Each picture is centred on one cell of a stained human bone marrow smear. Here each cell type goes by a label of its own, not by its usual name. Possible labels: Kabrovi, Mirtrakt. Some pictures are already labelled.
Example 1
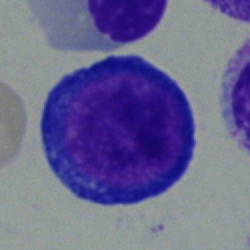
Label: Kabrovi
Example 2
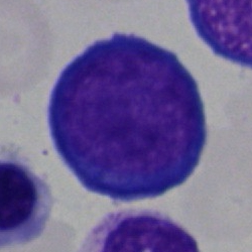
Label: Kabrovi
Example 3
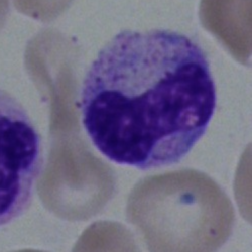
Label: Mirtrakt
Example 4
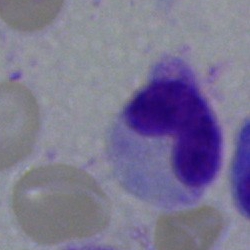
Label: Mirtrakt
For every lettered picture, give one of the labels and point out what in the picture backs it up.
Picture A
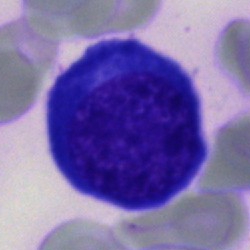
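Kabrovi. Evidence: The cytoplasm forms a narrow rim that is broadest at the upper left.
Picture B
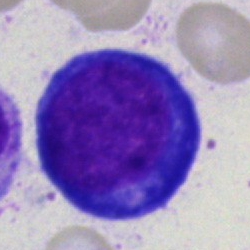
Kabrovi. Evidence: The chromatin is finely textured rather than coarsely clumped.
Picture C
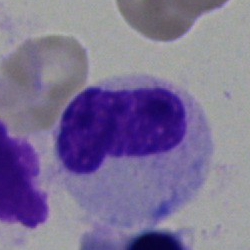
Mirtrakt. Evidence: The cytoplasm is plentiful and pale greyish-lilac.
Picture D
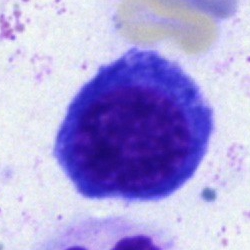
Kabrovi. Evidence: The nucleus fills most of the cell.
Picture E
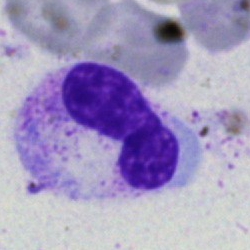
Mirtrakt. Evidence: The cytoplasm is plentiful and pale lilac-grey.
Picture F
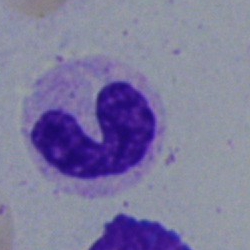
Mirtrakt. Evidence: The nucleus is a single unsegmented band curved into a U shape.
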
